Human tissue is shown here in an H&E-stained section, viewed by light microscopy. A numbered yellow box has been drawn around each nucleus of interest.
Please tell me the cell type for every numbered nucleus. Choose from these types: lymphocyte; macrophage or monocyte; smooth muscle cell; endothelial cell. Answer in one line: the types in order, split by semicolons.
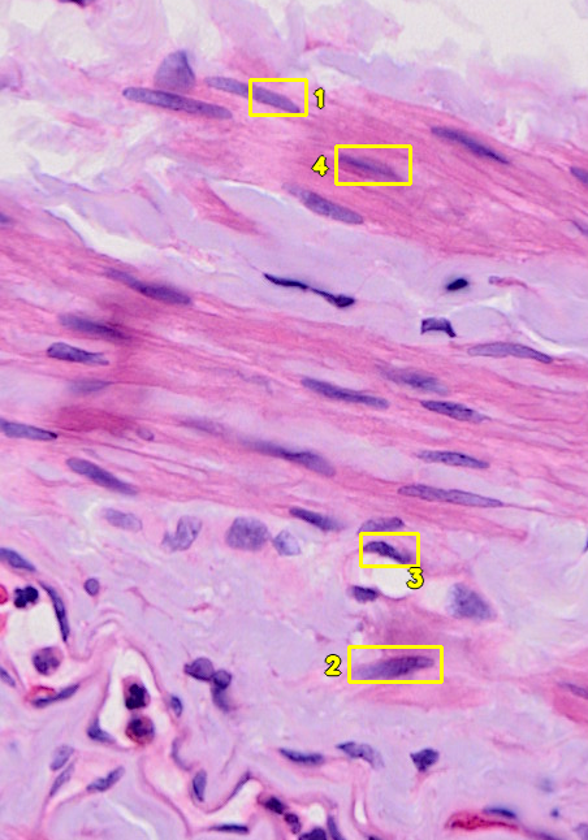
smooth muscle cell; smooth muscle cell; endothelial cell; smooth muscle cell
